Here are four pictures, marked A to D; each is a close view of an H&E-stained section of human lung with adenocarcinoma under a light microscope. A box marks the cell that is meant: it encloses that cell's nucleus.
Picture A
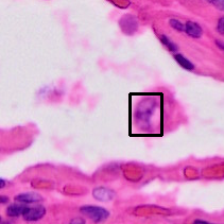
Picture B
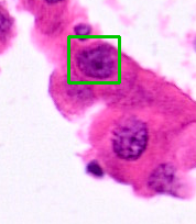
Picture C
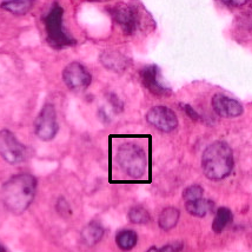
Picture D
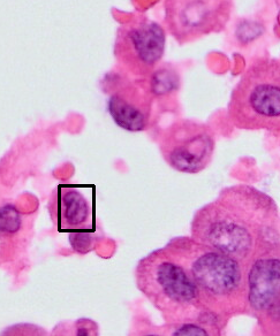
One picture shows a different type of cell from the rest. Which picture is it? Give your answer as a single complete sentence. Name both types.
The others show “macrophages or monocytes”, but picture B shows a carcinoma cell.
